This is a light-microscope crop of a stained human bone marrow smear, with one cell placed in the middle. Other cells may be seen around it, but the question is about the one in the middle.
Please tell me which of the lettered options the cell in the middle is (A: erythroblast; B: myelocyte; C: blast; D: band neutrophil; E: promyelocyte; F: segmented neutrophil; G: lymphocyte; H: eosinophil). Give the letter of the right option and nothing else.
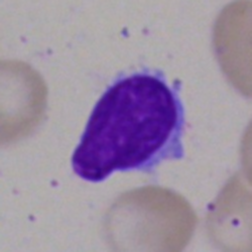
G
